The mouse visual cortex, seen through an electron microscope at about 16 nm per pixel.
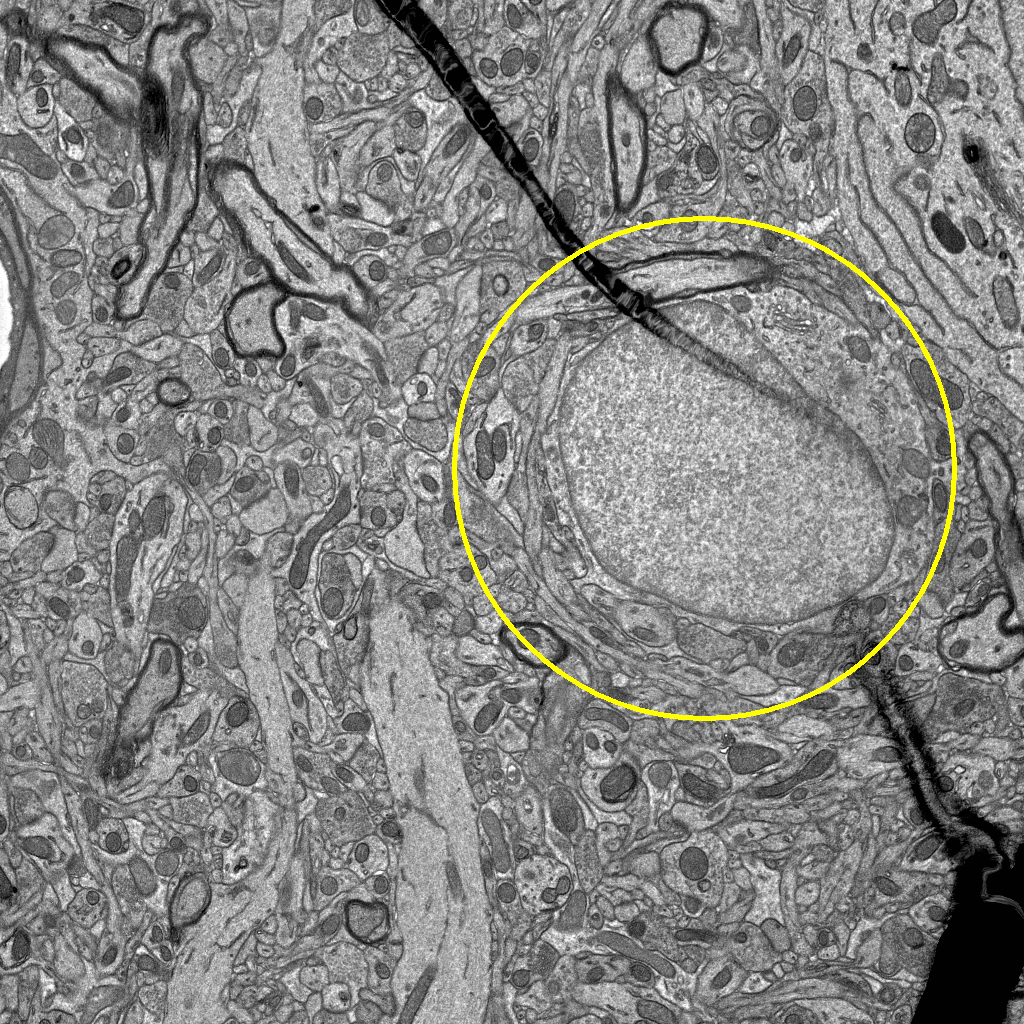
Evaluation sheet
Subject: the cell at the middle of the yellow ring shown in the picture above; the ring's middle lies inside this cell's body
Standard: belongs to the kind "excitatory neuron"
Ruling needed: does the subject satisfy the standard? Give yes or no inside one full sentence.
No, the cell at the middle of the ring in the picture above belongs to some other kind.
